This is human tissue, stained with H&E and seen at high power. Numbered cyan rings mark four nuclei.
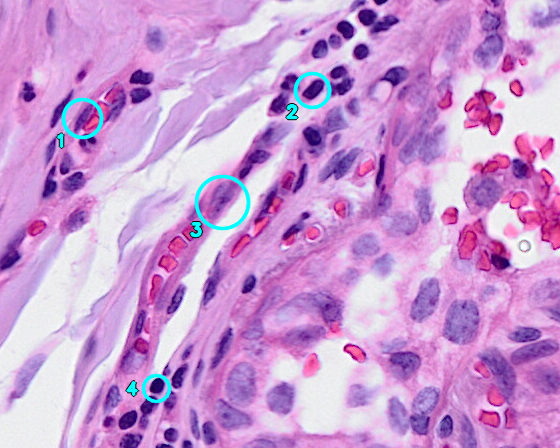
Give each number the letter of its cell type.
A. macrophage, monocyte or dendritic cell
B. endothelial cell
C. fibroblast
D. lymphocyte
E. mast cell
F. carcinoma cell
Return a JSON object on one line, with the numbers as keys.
{"1": "B", "2": "D", "3": "B", "4": "D"}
